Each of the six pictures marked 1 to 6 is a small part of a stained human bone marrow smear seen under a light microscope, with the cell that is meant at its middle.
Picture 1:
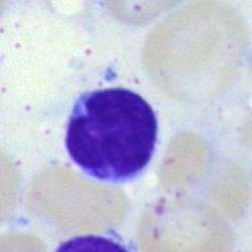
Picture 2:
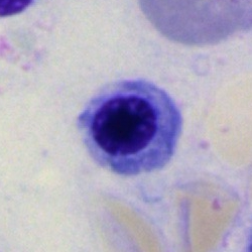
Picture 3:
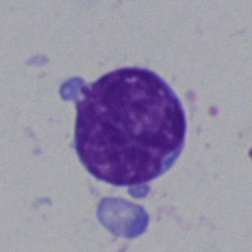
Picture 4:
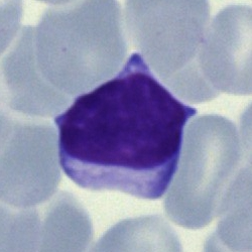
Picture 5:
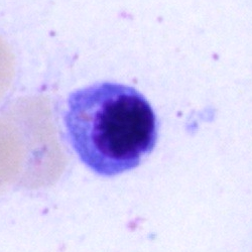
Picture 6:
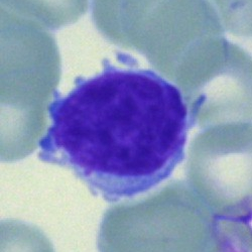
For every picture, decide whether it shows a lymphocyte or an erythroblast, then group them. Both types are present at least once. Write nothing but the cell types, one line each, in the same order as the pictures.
lymphocyte
erythroblast
lymphocyte
lymphocyte
erythroblast
lymphocyte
